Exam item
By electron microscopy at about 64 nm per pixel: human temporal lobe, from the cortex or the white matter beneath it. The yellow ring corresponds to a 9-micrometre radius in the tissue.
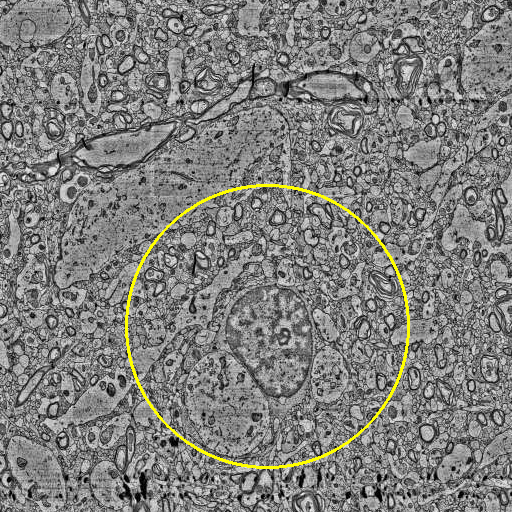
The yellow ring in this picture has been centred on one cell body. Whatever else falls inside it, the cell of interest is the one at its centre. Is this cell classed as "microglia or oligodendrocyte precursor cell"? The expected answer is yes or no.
no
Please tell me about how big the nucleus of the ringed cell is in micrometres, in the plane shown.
In this plane, roughly 7 by 5 micrometres.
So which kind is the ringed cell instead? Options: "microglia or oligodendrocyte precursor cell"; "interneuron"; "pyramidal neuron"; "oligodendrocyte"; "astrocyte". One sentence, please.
It is an oligodendrocyte that the ring is centred on.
